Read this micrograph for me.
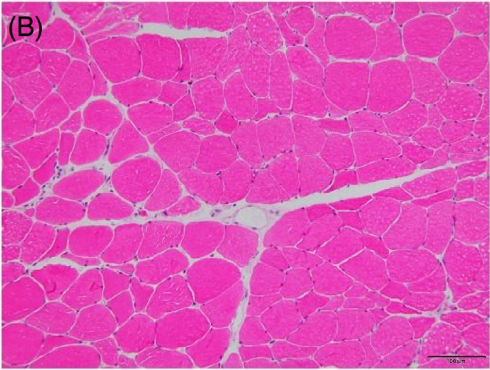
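This is a cross-section of skeletal muscle in which pink polygonal muscle fibers are packed into fascicles separated by pale connective tissue septa. Most fibers are large and rounded-polygonal, but scattered among them are smaller, angular fibers, so fiber size varies noticeably. Small dark nuclei sit at the edges of the fibers rather than in their centers. A broader pale septum with a small vessel runs across the middle of the field.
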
